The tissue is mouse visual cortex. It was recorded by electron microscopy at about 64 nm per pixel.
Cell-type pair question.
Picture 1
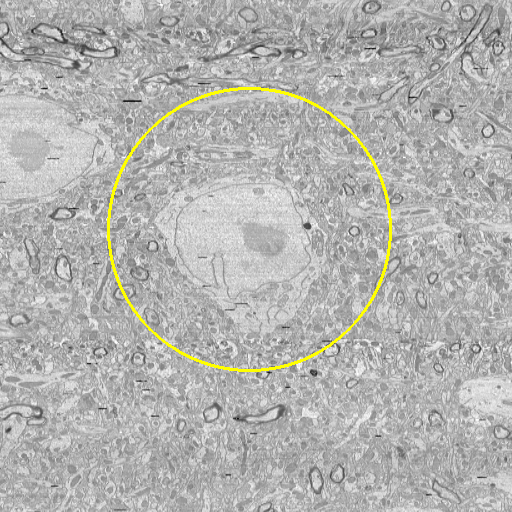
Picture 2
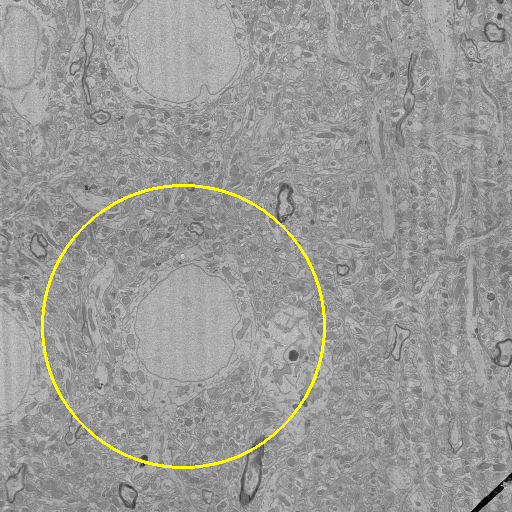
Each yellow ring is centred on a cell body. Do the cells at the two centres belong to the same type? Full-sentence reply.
Yes, the two cells belong to the same type.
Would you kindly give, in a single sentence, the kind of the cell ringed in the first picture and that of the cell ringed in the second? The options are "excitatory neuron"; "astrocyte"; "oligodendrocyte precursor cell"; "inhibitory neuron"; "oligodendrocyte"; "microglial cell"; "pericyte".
Each of the two rings is centred on an excitatory neuron.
